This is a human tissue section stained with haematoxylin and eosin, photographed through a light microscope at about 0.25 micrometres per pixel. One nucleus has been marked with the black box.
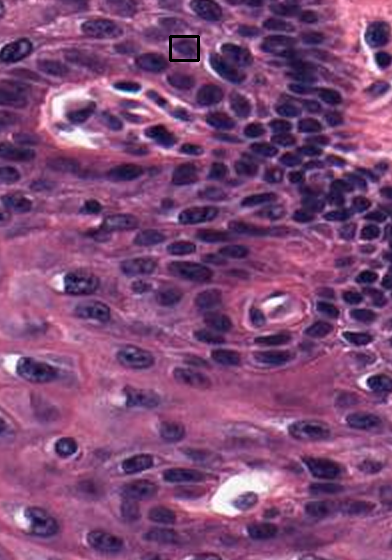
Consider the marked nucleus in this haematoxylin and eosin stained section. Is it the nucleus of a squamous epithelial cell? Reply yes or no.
yes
